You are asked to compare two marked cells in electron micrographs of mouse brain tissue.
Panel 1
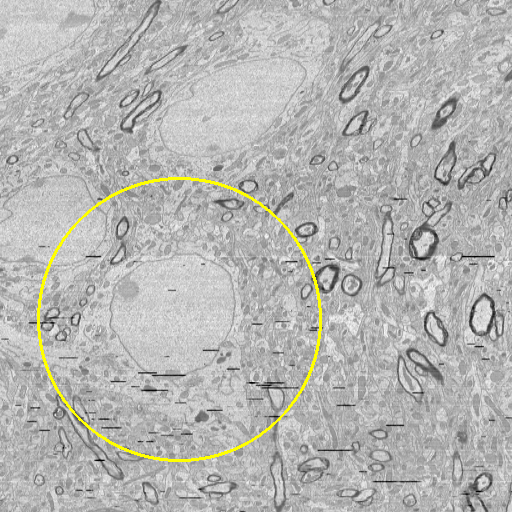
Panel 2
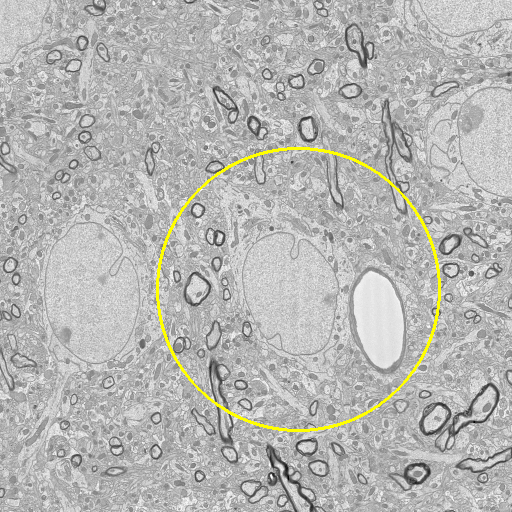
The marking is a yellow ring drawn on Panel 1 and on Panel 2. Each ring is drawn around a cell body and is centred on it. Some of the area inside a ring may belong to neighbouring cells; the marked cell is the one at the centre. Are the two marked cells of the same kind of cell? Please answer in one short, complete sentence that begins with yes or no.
Yes, the two marked cells are of the same kind.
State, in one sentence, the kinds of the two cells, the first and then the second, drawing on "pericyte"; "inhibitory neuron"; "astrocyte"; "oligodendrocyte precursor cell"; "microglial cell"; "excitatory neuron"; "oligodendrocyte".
Both the first and the second picture show an excitatory neuron in the ring.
